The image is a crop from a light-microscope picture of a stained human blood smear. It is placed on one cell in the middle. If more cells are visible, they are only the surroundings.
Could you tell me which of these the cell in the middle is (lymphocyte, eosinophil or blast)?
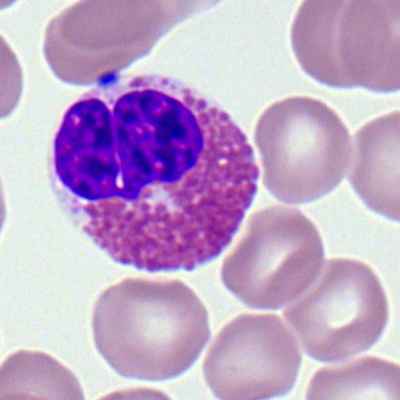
eosinophil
